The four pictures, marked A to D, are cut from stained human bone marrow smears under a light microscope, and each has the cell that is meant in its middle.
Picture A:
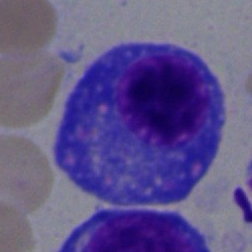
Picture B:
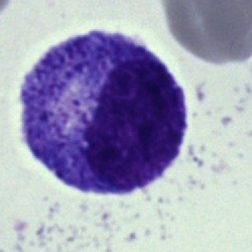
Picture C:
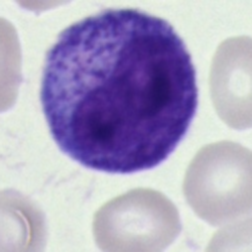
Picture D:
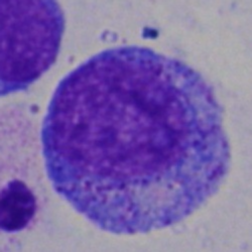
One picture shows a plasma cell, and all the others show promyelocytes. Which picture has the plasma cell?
A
